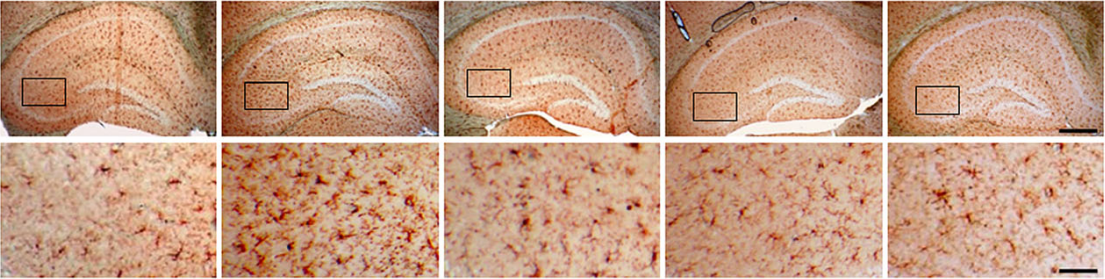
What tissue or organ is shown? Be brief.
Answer: hippocampus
